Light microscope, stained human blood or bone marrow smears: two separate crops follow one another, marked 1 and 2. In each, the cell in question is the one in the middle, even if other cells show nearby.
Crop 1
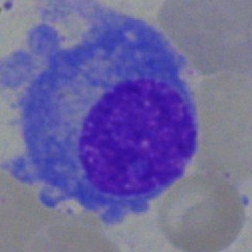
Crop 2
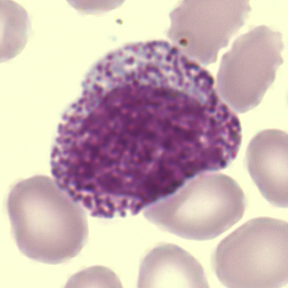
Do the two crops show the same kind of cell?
no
